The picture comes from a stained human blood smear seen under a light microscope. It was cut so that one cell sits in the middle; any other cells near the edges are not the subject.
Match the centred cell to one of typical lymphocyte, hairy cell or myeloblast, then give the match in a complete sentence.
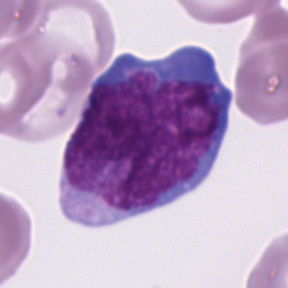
Where the crop is centred, there is a myeloblast.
